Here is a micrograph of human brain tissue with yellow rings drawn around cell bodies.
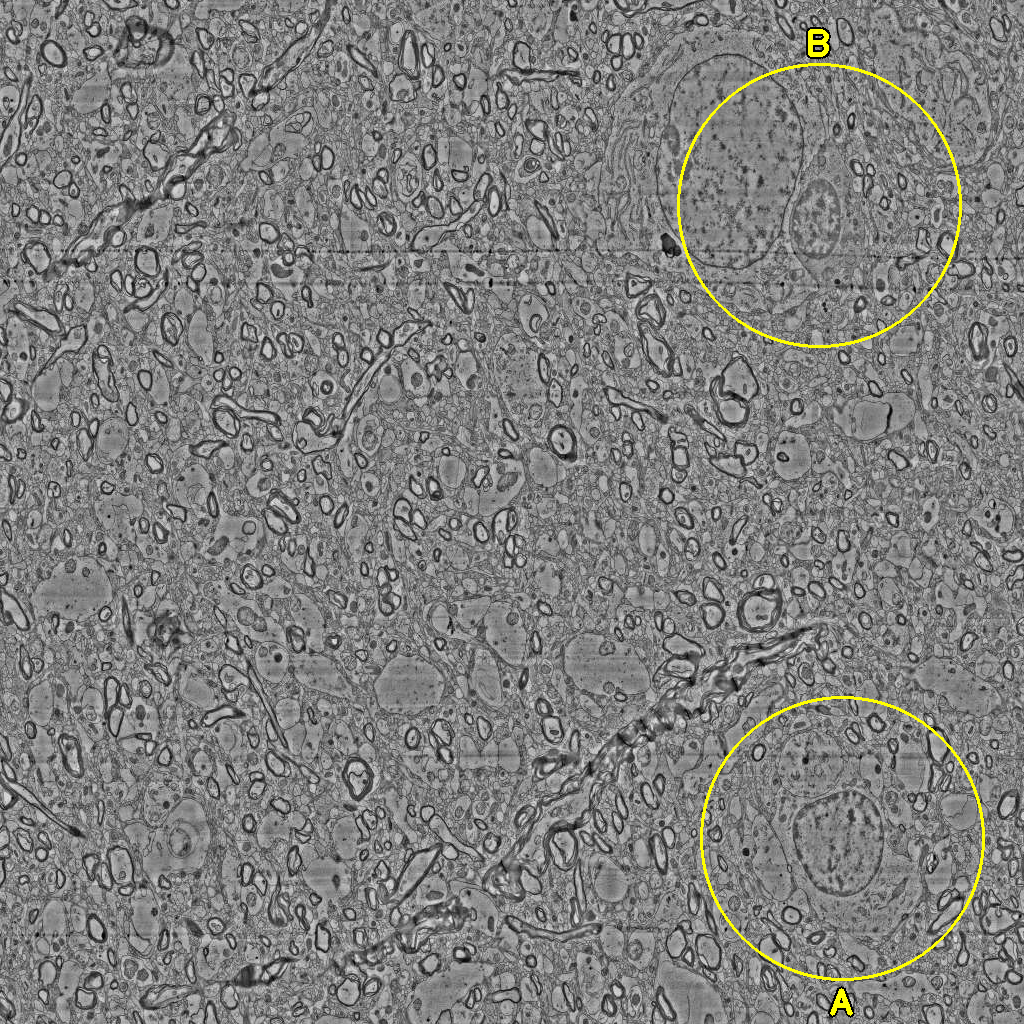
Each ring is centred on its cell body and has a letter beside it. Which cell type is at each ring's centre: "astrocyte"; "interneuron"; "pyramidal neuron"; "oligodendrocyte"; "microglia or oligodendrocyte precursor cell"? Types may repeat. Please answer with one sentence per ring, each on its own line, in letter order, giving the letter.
Ring A shows a microglial cell or oligodendrocyte precursor cell at its centre.
Ring B shows an oligodendrocyte at its centre.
